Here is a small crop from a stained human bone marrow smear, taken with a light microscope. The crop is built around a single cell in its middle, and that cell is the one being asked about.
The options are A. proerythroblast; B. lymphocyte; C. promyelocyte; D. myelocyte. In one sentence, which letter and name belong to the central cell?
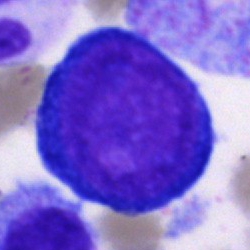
The cell in the middle is a proerythroblast, and that makes option A correct.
